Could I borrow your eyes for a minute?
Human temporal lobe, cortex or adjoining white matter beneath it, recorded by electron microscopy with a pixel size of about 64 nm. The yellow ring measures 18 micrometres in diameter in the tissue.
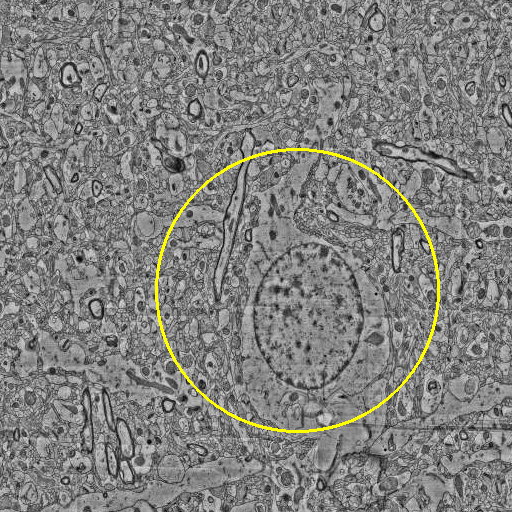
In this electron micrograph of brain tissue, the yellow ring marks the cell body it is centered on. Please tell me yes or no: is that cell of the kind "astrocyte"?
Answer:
yes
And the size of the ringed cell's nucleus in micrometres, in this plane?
The nucleus works out at approximately 9 by 7 micrometres in this plane.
